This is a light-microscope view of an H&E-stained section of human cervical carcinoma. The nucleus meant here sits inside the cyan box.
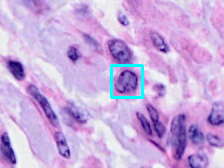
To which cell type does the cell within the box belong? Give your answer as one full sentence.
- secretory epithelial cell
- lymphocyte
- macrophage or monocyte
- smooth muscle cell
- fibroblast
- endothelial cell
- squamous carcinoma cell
So far as cell type goes, the cell within the box is a macrophage or monocyte.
